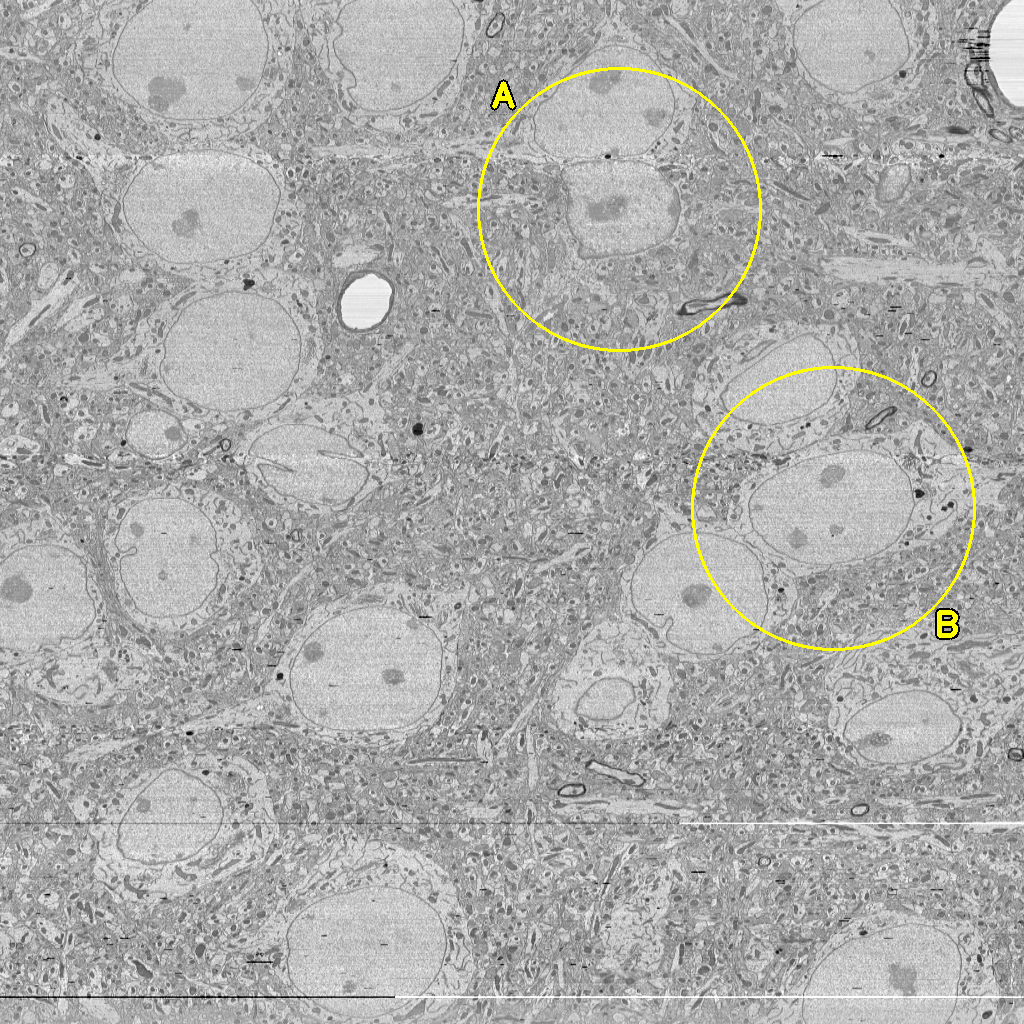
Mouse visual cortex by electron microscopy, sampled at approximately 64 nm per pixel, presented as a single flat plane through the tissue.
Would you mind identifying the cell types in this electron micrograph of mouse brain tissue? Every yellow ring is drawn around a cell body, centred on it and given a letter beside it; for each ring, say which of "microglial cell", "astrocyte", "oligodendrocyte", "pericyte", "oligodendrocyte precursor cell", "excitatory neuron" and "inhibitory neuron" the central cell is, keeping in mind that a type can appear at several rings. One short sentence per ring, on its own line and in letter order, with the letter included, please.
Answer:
At the centre of ring A lies an astrocyte.
At the centre of ring B lies an excitatory neuron.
